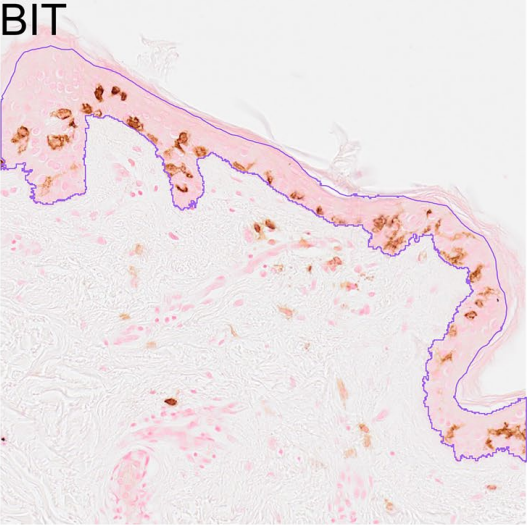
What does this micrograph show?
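Skin with a thin stratified epidermis outlined in purple, resting on loose fibrous dermis with downward rete projections. Numerous brown-stained dendritic cells with branching processes are scattered through the epidermis, mostly in its lower half, and a few brown cells lie in the underlying dermis.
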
